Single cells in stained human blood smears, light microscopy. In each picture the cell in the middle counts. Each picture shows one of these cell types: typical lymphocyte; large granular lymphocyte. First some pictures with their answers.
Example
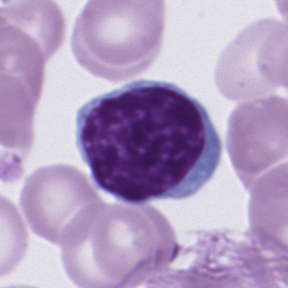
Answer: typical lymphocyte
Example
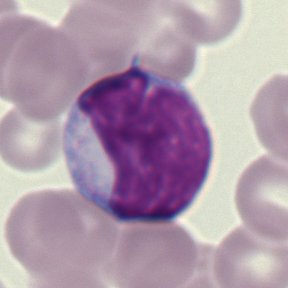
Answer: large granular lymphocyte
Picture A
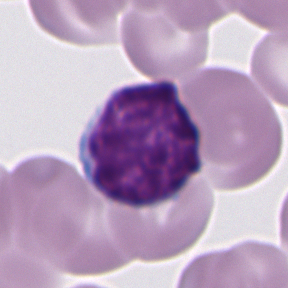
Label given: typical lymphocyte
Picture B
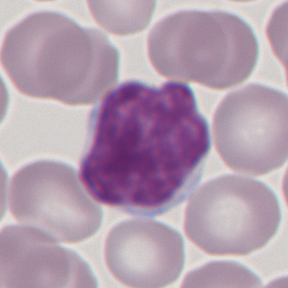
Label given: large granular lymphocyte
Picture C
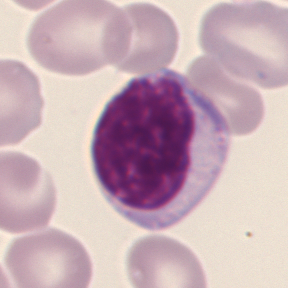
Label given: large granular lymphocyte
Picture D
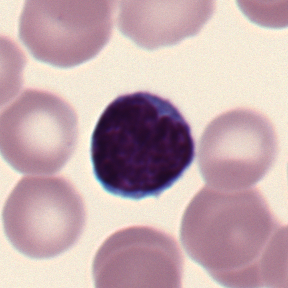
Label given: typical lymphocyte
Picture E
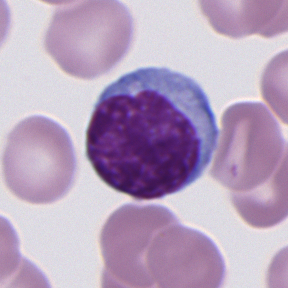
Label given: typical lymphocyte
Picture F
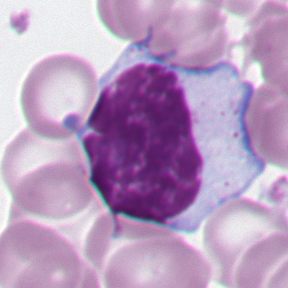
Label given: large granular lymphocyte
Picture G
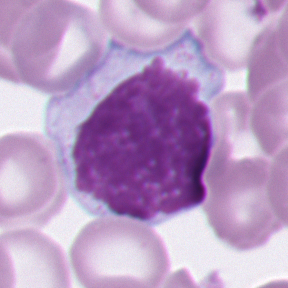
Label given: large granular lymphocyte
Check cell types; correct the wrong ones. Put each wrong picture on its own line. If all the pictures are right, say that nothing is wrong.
B: typical lymphocyte, not large granular lymphocyte
G: typical lymphocyte, not large granular lymphocyte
